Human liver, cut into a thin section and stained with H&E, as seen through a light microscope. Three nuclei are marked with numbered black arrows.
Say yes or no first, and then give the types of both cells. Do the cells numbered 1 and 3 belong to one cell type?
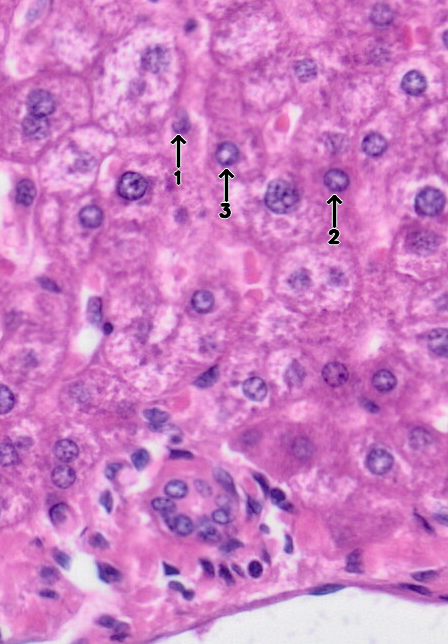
No, cell 1 is a Kupffer cell and cell 3 is a hepatocyte.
